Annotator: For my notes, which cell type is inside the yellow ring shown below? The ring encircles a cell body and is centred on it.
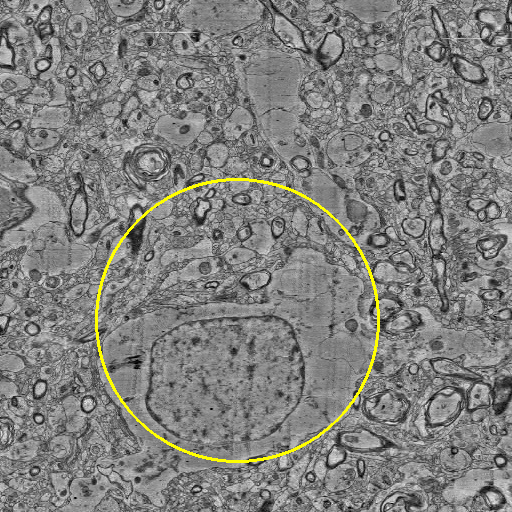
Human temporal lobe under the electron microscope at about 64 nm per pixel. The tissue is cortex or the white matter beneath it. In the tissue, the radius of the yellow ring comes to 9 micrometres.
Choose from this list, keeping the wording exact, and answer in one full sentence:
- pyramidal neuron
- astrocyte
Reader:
At the centre of the yellow ring there is an astrocyte, as shown in the picture.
